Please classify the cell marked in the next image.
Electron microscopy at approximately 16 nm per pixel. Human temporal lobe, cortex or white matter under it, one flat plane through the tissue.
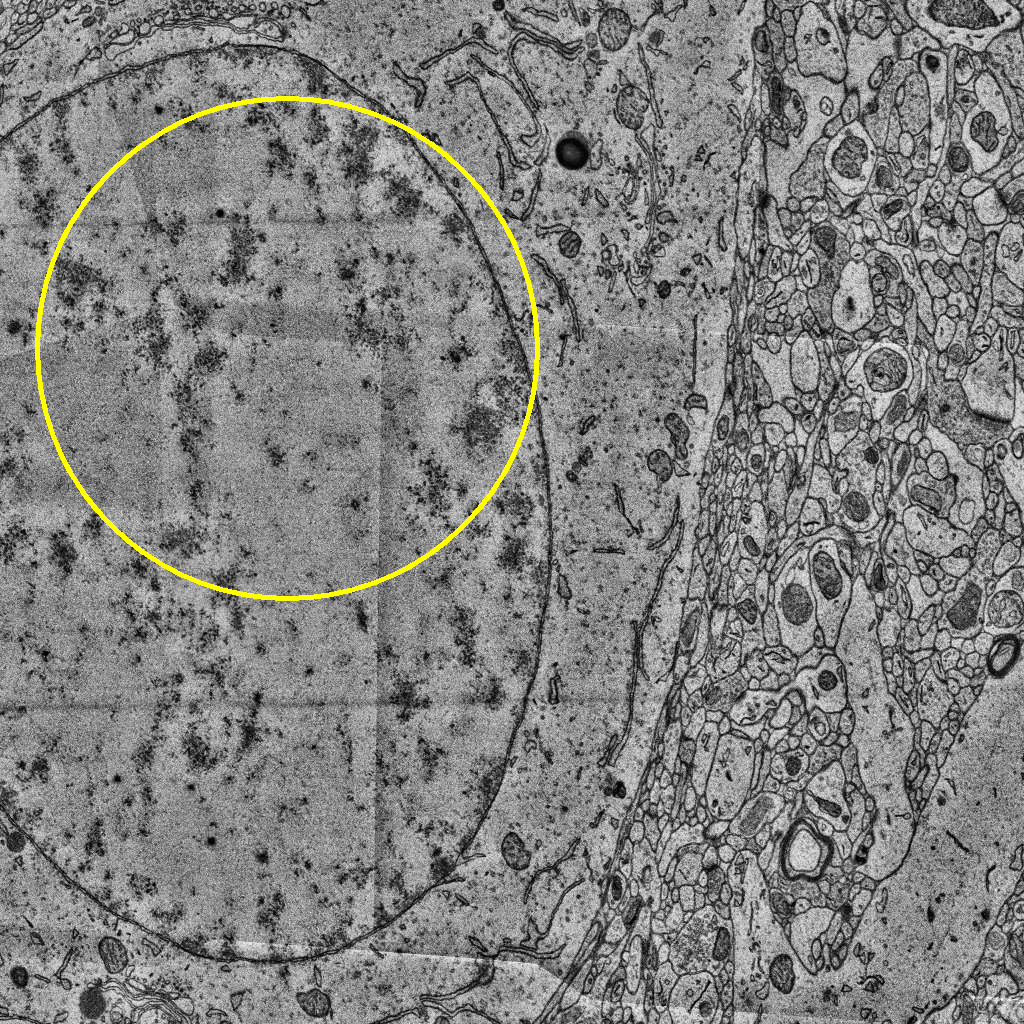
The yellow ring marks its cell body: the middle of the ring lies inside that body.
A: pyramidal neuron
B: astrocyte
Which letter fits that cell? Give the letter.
A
